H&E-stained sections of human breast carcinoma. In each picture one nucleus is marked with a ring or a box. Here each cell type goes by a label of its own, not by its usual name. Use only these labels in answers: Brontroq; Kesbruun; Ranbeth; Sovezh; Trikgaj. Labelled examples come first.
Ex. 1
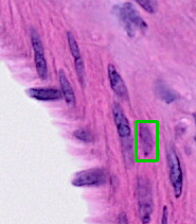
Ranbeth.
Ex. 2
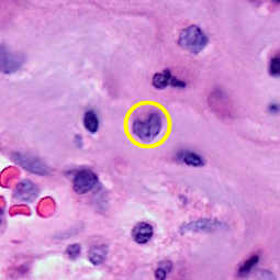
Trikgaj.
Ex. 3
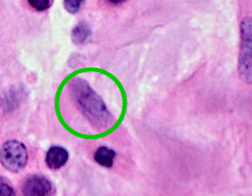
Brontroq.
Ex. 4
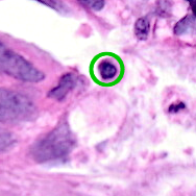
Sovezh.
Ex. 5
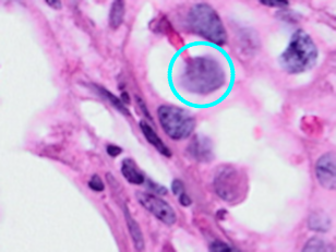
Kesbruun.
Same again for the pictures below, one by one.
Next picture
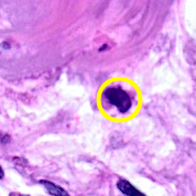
Trikgaj.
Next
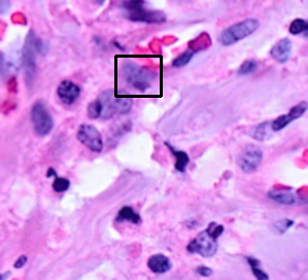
Ranbeth.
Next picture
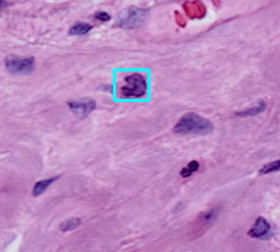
Trikgaj.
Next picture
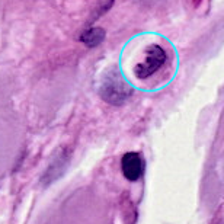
Trikgaj.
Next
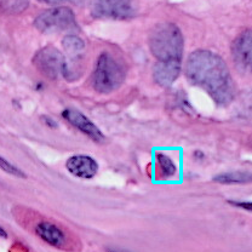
Ranbeth.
